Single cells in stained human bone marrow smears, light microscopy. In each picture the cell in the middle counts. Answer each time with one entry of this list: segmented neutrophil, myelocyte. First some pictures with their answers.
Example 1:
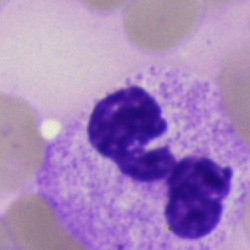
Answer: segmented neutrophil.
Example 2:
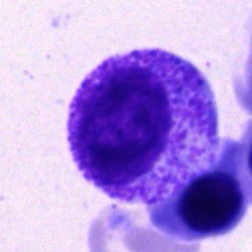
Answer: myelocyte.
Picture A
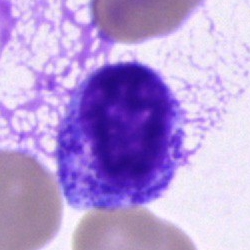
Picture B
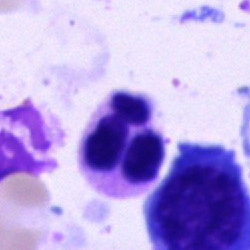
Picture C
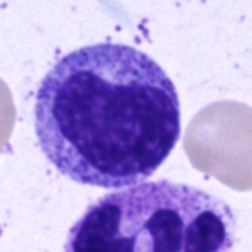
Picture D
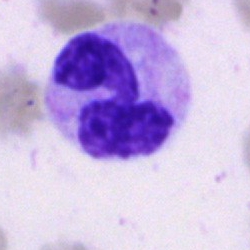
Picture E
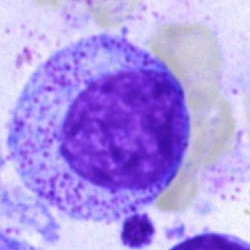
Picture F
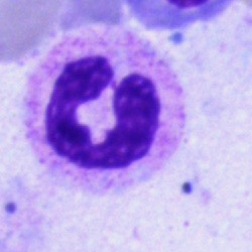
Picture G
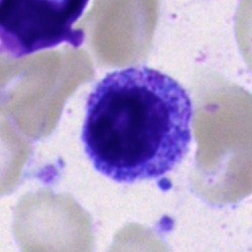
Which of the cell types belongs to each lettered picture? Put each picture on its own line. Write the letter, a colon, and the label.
A: myelocyte.
B: segmented neutrophil.
C: myelocyte.
D: segmented neutrophil.
E: myelocyte.
F: segmented neutrophil.
G: myelocyte.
